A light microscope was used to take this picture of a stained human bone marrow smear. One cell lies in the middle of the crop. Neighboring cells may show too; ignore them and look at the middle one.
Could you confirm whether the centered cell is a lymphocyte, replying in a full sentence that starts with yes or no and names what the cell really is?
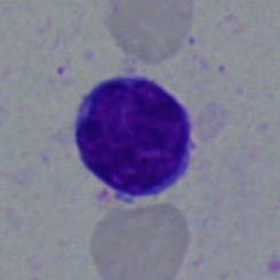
Yes, the middle cell is classified as a lymphocyte.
